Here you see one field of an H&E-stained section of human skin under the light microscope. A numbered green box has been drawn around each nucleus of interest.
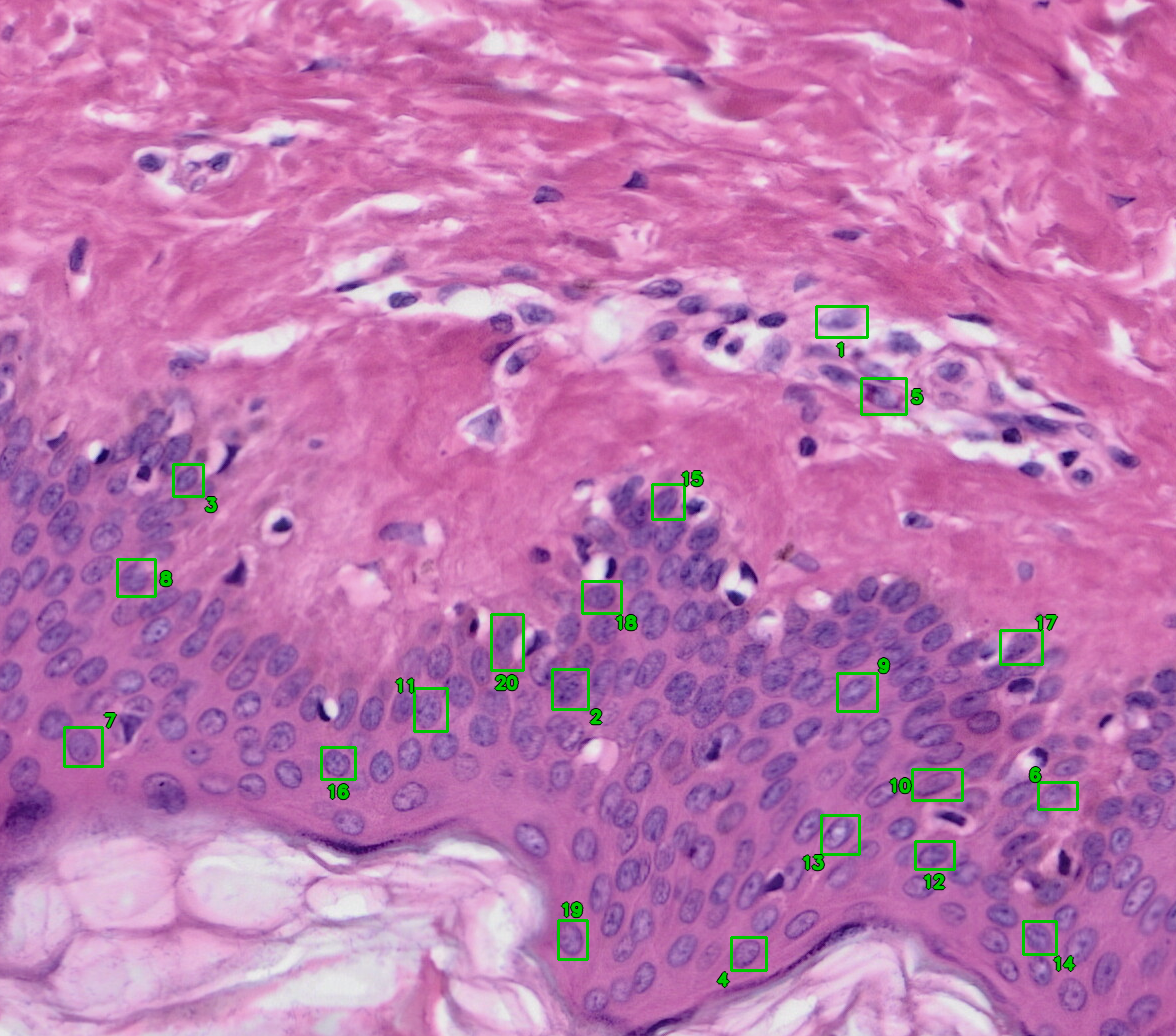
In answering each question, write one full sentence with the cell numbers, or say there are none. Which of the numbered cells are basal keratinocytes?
The cells whose numbers are 3, 6, 8, 15, 17, 18 and 20 are basal keratinocytes.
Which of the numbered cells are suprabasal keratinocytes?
The cells with numbers 2, 4, 7, 9, 10, 11, 12, 13, 14, 16 and 19 are suprabasal keratinocytes by type.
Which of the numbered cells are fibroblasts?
Only cell 1 should be marked as a fibroblast.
